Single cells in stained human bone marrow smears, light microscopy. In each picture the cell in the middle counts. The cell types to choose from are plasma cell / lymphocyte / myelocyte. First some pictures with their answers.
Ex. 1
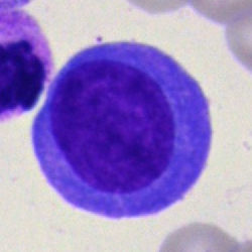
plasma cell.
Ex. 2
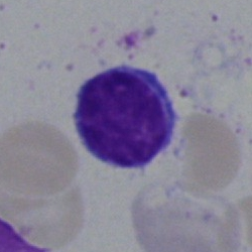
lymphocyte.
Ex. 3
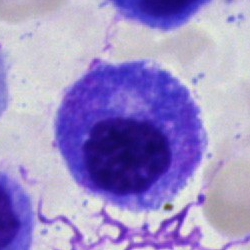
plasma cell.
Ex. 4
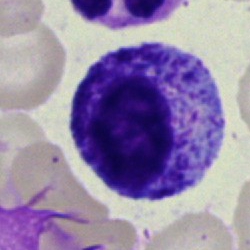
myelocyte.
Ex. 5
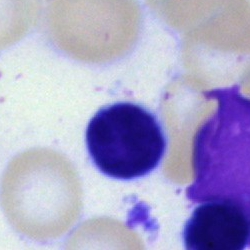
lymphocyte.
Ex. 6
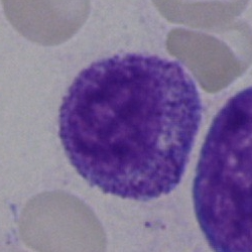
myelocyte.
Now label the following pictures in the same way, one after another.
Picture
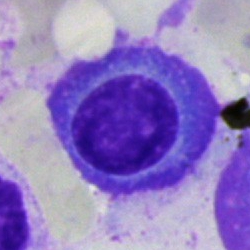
plasma cell.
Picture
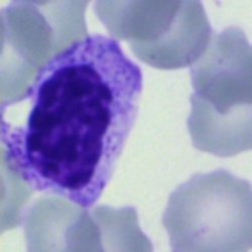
myelocyte.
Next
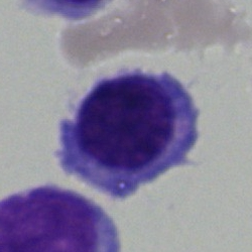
plasma cell.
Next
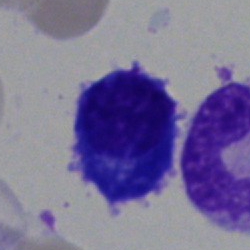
plasma cell.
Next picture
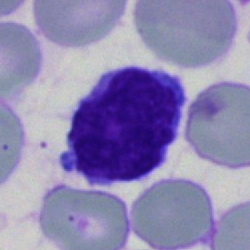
lymphocyte.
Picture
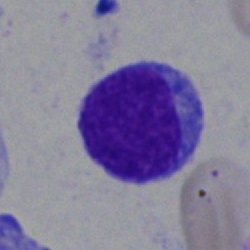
lymphocyte.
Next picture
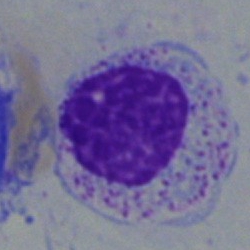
myelocyte.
